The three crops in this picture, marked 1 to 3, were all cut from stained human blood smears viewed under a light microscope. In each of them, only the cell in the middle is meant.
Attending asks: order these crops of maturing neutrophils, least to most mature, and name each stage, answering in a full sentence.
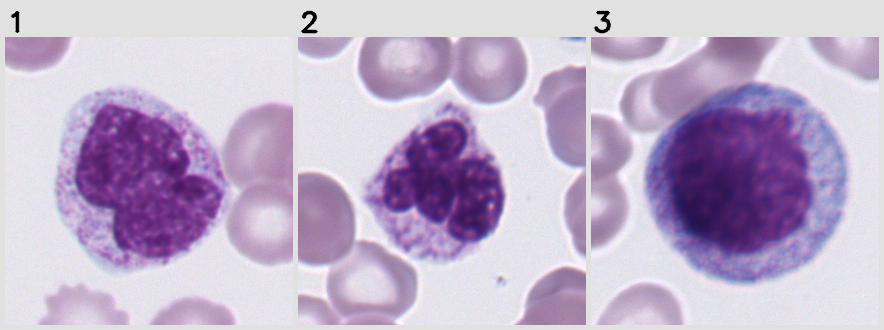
From the least mature to the most mature, the order reads crop 3 (a promyelocyte), crop 1 (a band neutrophil) and crop 2 (a segmented neutrophil).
